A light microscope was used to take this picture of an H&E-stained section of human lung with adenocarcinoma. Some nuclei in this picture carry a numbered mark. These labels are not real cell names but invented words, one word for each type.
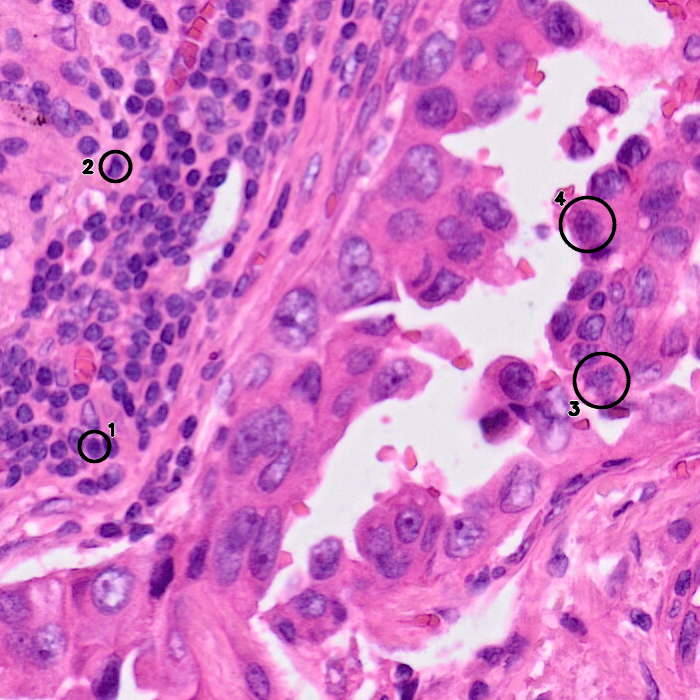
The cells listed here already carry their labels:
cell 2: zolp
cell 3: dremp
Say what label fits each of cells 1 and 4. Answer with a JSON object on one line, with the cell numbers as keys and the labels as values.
{"1": "zolp", "4": "dremp"}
